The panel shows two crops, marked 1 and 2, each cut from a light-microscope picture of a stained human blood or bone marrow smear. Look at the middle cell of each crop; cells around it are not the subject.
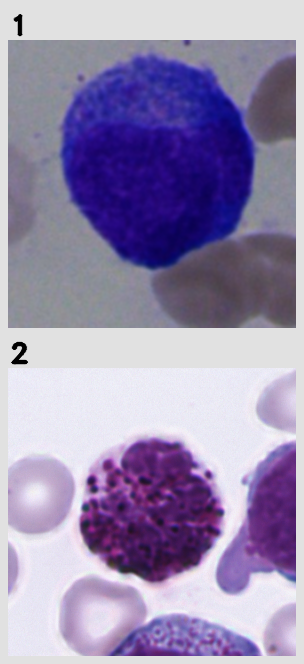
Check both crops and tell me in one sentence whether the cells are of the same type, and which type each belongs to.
No, crop 1 carries a promyelocyte at its centre, and crop 2 carries a basophil.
